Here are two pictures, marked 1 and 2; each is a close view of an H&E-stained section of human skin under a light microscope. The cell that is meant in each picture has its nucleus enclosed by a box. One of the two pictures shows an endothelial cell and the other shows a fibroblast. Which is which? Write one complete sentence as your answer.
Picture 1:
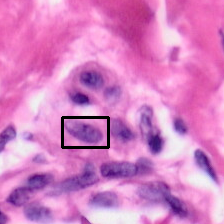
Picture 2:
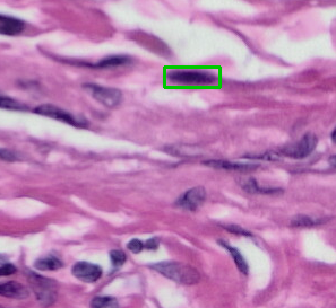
It is picture 1 that shows an endothelial cell, and picture 2 that shows a fibroblast.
